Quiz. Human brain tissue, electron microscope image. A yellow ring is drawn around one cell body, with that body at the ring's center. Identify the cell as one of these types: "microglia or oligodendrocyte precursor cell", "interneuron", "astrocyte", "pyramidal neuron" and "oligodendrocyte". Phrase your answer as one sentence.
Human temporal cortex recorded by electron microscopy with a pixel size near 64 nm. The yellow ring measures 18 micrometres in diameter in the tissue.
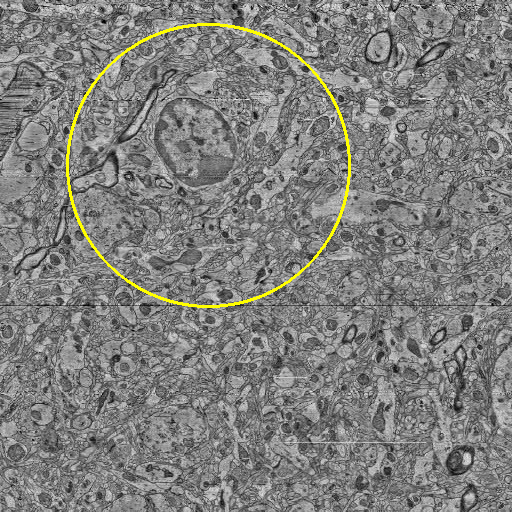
At the center of the ring sits a microglial cell or oligodendrocyte precursor cell.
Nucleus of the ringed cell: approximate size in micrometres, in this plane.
In this plane, approximately 6 by 5 micrometers.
